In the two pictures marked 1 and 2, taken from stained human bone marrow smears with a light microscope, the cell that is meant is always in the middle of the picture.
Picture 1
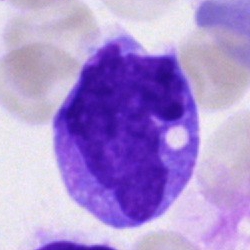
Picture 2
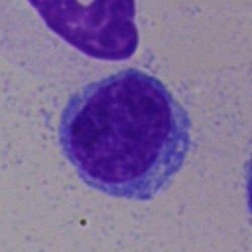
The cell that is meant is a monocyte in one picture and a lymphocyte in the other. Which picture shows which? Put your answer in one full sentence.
The cell in picture 1 is a monocyte, and the one in picture 2 is a lymphocyte.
